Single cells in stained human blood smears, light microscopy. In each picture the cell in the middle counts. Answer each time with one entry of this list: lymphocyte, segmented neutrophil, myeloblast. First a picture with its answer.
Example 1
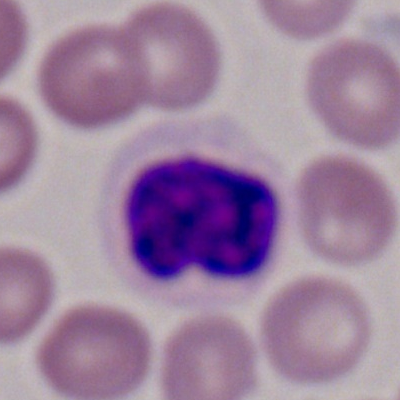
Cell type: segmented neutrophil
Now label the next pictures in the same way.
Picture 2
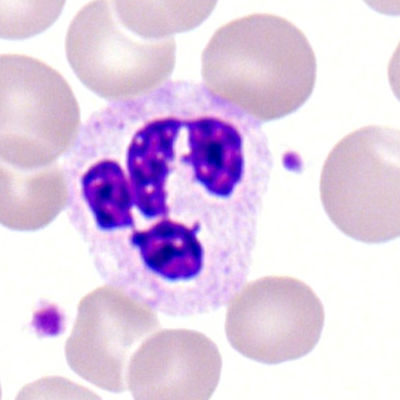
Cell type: segmented neutrophil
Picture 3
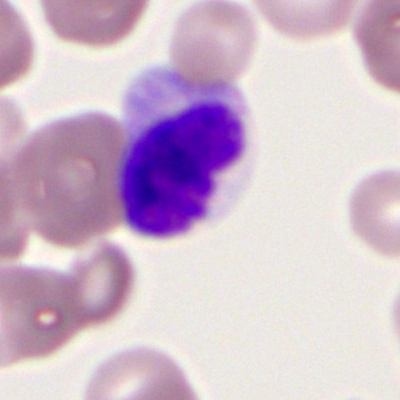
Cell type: lymphocyte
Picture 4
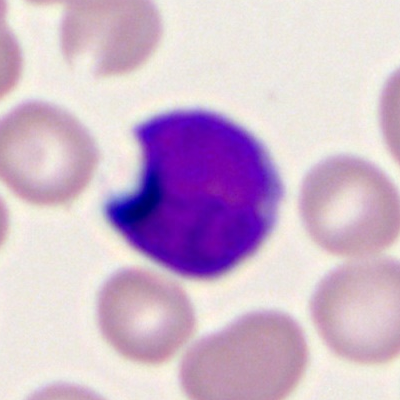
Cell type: myeloblast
